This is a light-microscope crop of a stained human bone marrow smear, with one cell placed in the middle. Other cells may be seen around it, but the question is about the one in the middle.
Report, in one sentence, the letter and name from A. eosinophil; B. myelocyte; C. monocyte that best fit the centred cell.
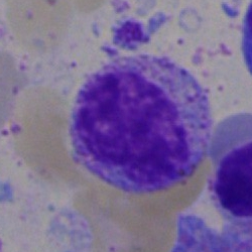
Correctly, option B names the cell in the middle a myelocyte.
